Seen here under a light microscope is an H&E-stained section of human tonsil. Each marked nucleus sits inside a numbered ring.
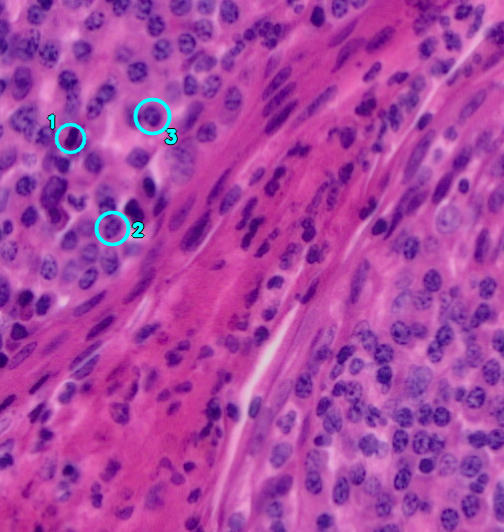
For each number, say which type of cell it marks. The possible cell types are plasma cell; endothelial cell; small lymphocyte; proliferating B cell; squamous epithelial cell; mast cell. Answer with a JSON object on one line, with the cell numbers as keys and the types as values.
{"1": "squamous epithelial cell", "2": "plasma cell", "3": "plasma cell"}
